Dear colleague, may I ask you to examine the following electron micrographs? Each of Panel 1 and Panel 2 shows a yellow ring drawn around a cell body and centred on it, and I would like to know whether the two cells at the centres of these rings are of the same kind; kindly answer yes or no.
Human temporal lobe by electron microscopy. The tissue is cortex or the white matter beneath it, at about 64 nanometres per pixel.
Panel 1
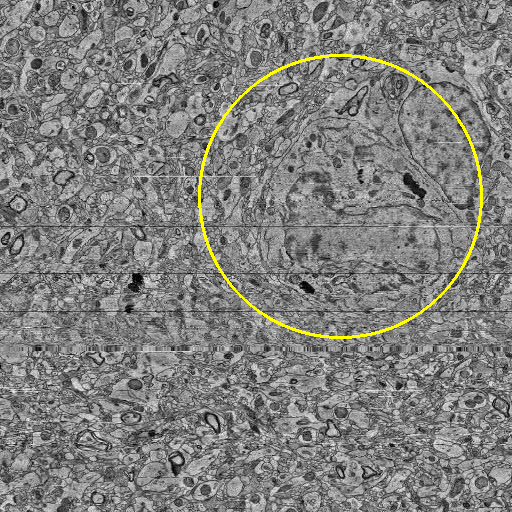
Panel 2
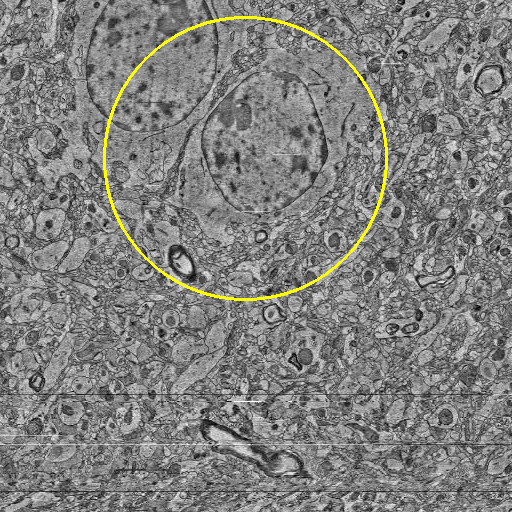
no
